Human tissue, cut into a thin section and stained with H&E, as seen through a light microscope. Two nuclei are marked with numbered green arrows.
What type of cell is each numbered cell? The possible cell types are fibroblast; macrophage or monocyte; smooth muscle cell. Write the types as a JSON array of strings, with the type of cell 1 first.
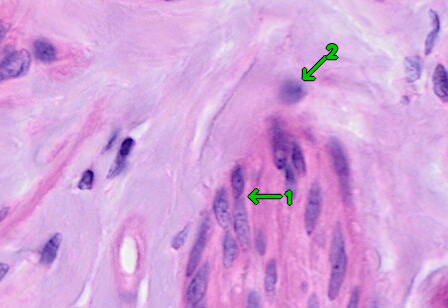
["smooth muscle cell", "fibroblast"]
